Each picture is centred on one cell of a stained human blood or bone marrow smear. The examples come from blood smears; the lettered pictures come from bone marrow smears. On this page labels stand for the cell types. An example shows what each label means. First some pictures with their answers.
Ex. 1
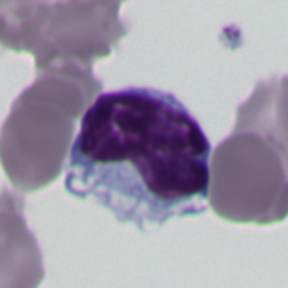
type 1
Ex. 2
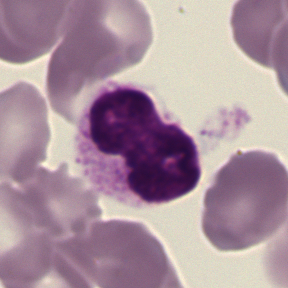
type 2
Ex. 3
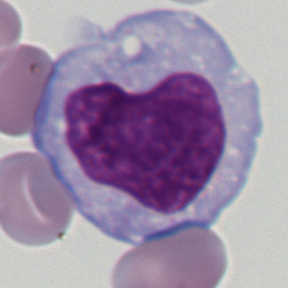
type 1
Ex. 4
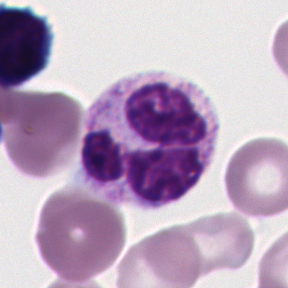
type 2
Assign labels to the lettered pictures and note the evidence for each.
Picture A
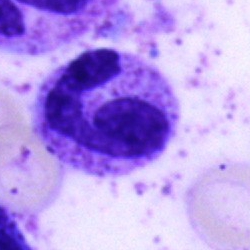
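type 2: The cytoplasm is sprinkled with fine pink-purple granules.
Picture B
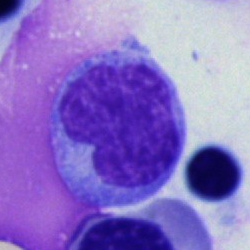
type 1: The nucleus fills most of the cell and sits toward its upper right.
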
